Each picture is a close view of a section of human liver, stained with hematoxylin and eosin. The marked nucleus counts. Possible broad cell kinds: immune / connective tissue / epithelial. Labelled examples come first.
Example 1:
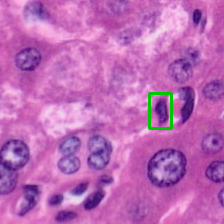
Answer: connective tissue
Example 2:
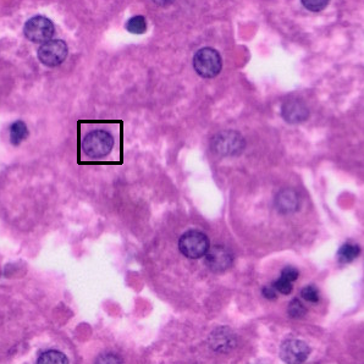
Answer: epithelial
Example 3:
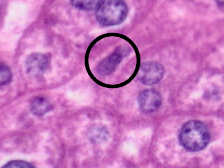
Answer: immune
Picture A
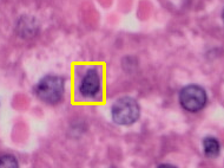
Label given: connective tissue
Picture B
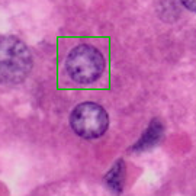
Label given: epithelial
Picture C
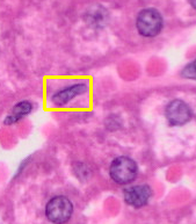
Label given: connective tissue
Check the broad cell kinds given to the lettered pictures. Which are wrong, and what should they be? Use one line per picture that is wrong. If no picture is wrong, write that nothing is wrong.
All correct.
